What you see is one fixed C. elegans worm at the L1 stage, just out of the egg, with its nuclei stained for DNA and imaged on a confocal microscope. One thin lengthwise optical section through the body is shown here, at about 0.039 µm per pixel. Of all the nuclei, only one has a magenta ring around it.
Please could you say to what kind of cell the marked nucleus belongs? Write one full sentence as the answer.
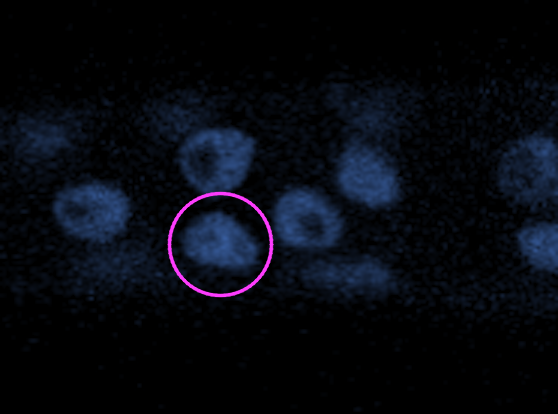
The marked nucleus belongs to a P cell (ventral epidermal blast cell).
